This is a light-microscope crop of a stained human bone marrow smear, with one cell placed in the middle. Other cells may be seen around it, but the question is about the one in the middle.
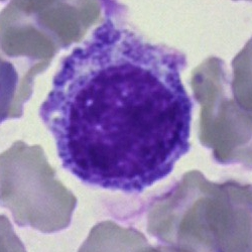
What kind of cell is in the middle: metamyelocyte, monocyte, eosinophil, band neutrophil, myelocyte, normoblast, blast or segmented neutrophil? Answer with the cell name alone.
myelocyte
